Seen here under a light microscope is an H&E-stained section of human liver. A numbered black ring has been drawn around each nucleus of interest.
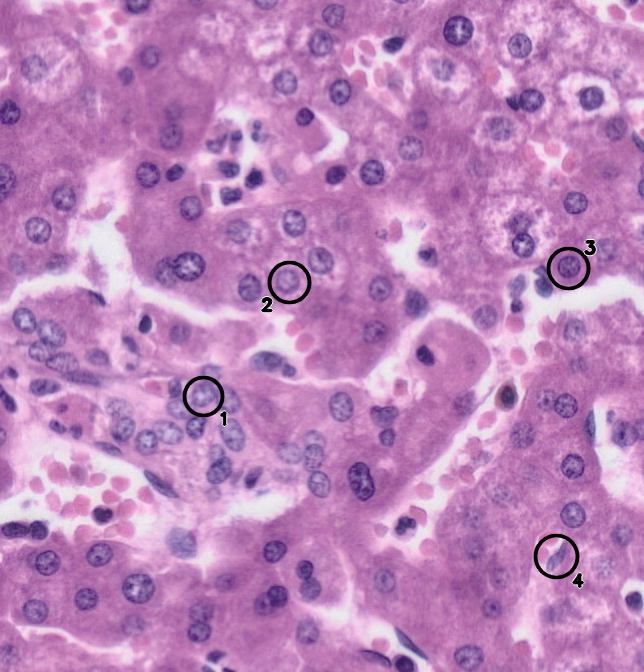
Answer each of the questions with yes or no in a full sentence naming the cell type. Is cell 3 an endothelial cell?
No, not an endothelial cell: the cell with number 3 is a hepatocyte.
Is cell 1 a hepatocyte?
No, the right label for cell 1 is a cholangiocyte rather than a hepatocyte.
